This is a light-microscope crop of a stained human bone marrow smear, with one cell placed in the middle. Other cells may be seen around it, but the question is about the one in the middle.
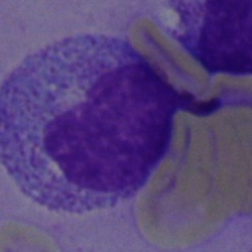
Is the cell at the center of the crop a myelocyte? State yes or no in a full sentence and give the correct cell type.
Yes, placed in the middle of the crop is a myelocyte.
